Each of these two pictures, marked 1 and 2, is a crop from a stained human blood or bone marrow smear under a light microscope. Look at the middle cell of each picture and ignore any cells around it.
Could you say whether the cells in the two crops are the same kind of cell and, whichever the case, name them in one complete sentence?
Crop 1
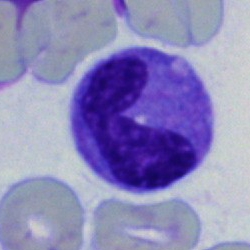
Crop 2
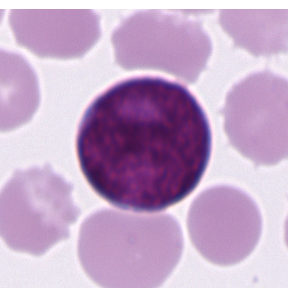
No, a blast is the cell of crop 2, while a monocyte is the cell of crop 1.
